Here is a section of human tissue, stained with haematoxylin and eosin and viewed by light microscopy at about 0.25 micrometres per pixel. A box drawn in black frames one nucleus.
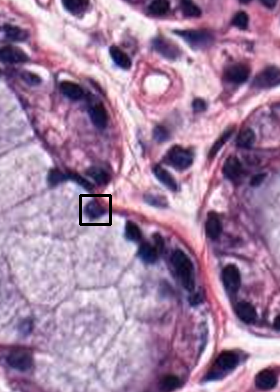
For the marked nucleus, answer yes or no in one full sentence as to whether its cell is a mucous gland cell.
Yes, it is within a mucous gland cell that the marked nucleus lies.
